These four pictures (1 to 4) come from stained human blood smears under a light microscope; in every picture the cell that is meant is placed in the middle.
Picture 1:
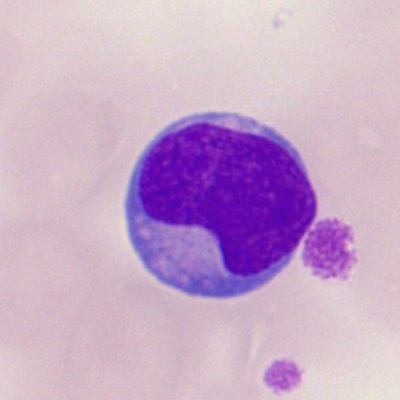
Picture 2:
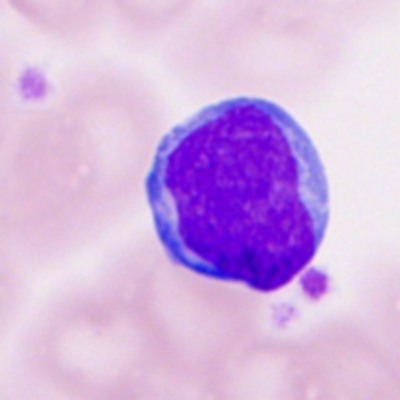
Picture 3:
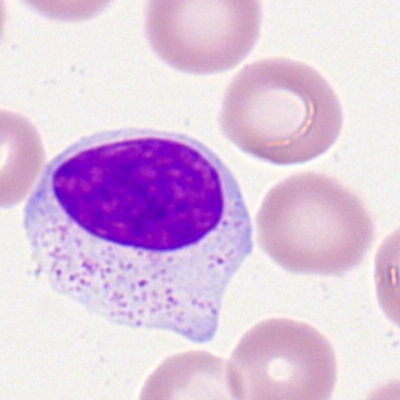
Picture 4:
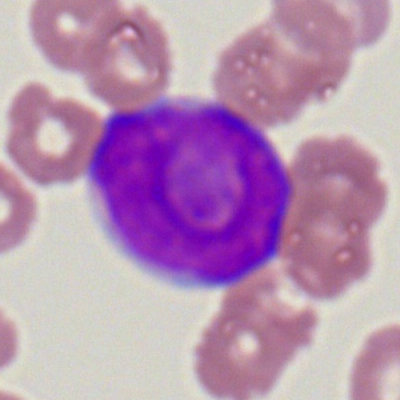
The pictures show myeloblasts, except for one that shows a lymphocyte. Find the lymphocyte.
3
